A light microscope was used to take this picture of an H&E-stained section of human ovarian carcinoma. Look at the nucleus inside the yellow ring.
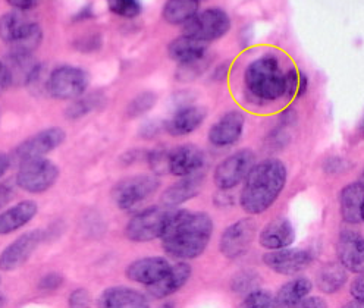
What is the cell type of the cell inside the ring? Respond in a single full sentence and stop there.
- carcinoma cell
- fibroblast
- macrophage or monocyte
By its classification, the cell inside the ring is a carcinoma cell.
